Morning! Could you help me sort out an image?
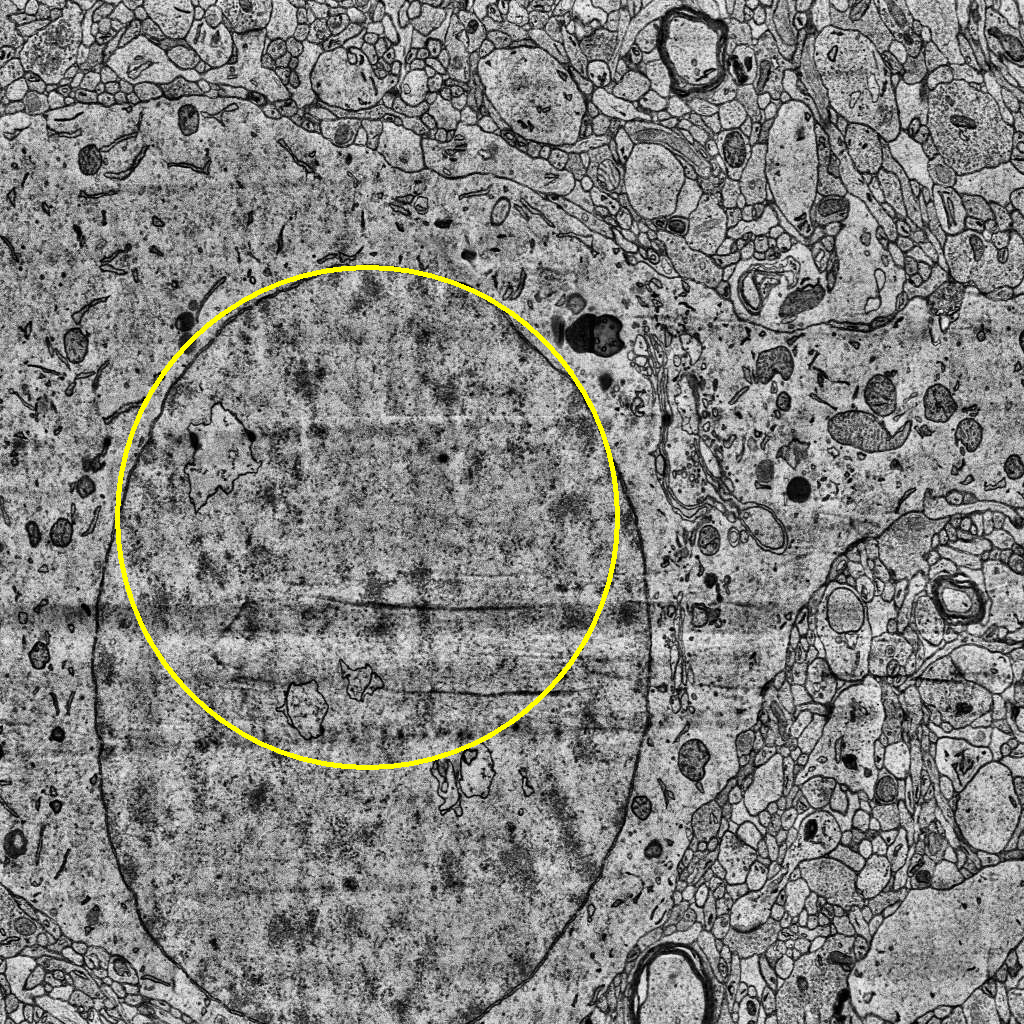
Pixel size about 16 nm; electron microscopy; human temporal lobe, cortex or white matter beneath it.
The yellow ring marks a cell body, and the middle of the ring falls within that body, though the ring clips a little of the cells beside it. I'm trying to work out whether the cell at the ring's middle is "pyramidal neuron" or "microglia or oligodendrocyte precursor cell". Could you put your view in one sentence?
The cell body at the ring's middle is that of a pyramidal neuron.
